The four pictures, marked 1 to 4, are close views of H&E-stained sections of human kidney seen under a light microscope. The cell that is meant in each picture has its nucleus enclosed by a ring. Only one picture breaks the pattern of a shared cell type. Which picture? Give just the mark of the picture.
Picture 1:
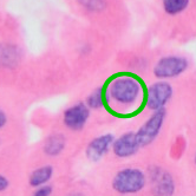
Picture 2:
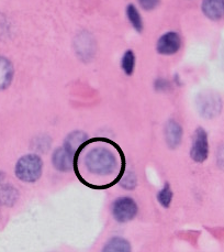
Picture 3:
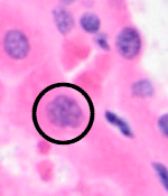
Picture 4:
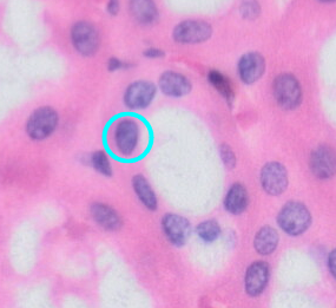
3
